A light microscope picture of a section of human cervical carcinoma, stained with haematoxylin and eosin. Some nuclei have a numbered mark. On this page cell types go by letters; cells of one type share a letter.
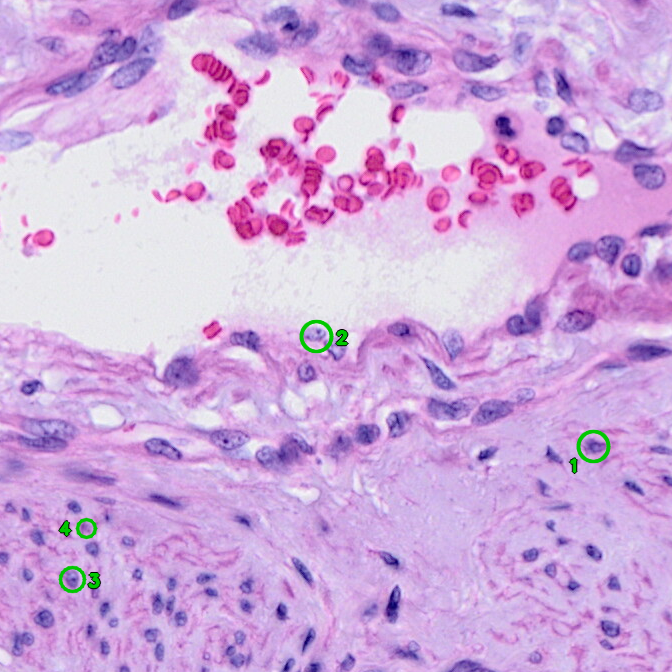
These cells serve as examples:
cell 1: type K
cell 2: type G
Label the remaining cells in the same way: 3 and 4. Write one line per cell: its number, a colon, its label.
3: type K
4: type K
